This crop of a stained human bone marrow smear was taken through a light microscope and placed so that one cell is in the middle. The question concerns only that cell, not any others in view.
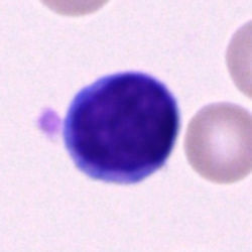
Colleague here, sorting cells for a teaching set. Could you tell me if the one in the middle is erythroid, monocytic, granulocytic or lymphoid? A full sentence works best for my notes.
The cell in the middle belongs to the lymphoid lineage.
